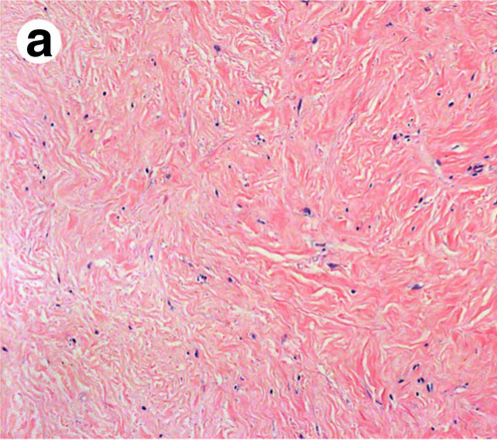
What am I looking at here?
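This is a section of densely packed, wavy pink-staining fibres filling almost the whole field. Small, dark purple nuclei lie scattered sparsely between the fibres.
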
